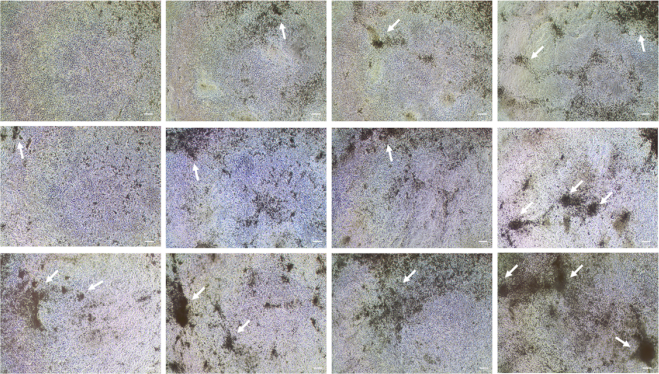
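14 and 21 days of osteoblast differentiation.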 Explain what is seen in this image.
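Scattered through the sheet are dark, opaque, irregular aggregates that mark mineralized nodules. These nodules are small and few in the top row and become larger, darker and more numerous in the lower rows, where some merge into broad dark patches. Individual cell outlines are hard to make out at this magnification.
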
